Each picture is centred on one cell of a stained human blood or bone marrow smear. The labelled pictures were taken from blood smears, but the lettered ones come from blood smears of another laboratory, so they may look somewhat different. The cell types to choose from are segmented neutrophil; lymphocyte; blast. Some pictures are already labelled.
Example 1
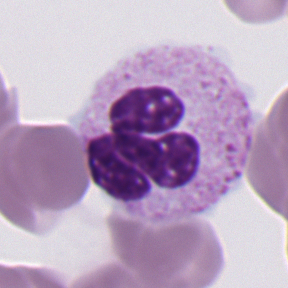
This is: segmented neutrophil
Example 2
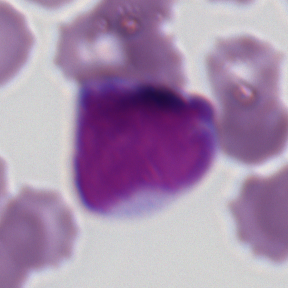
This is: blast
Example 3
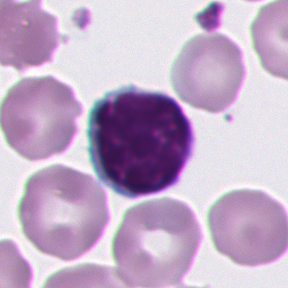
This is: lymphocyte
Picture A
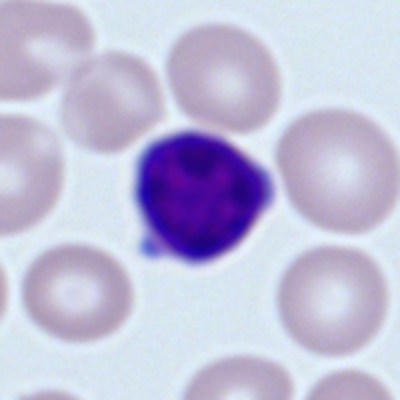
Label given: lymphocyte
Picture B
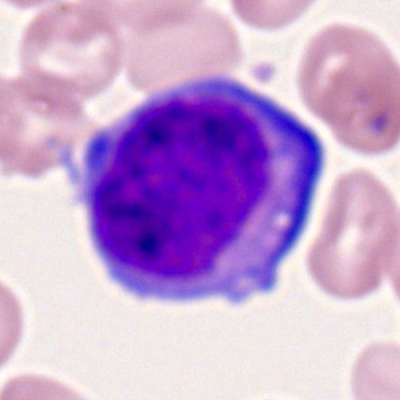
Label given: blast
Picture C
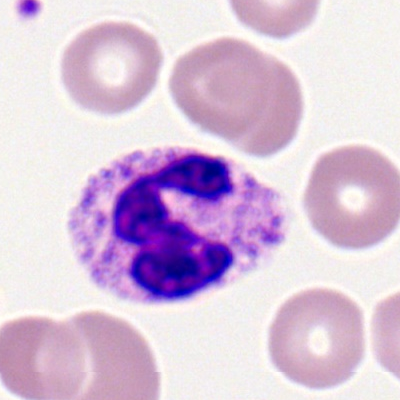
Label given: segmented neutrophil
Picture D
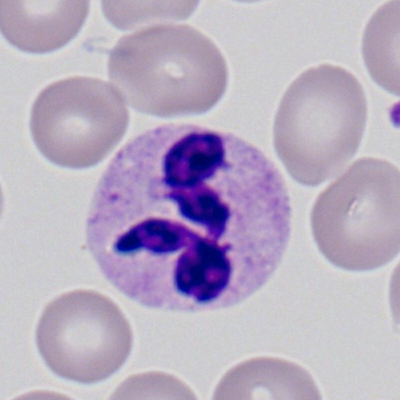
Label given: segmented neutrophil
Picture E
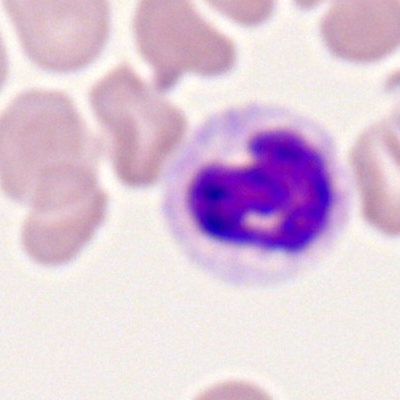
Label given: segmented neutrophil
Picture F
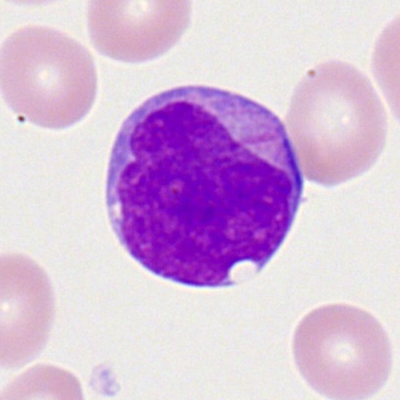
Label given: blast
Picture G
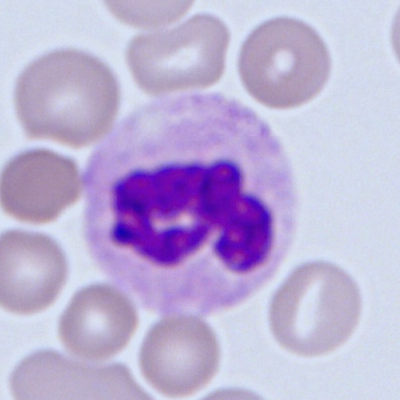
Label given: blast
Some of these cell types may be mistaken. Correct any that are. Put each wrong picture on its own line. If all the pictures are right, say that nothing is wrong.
G: segmented neutrophil, not blast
